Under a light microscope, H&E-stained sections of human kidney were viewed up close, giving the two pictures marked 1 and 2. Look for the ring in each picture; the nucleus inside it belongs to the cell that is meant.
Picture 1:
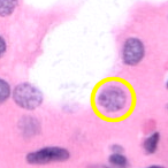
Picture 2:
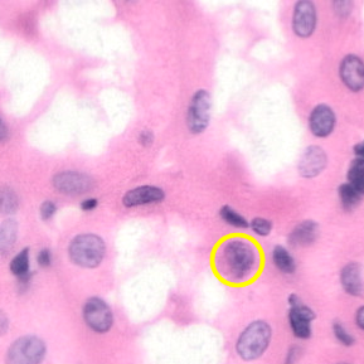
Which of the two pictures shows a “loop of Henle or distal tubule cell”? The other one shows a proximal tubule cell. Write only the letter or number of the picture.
1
